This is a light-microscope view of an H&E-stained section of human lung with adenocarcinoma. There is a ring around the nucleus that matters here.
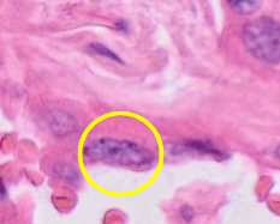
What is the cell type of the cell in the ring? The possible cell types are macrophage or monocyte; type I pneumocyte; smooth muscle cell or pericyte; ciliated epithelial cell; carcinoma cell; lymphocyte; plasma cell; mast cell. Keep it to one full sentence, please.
The cell type of the cell in the ring is that of a carcinoma cell.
